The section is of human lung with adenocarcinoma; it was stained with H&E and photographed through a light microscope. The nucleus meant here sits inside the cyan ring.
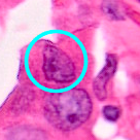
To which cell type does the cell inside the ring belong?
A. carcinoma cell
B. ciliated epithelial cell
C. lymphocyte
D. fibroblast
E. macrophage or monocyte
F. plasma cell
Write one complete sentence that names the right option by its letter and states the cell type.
Option A, which has the cell inside the ring as a carcinoma cell, is the correct choice.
